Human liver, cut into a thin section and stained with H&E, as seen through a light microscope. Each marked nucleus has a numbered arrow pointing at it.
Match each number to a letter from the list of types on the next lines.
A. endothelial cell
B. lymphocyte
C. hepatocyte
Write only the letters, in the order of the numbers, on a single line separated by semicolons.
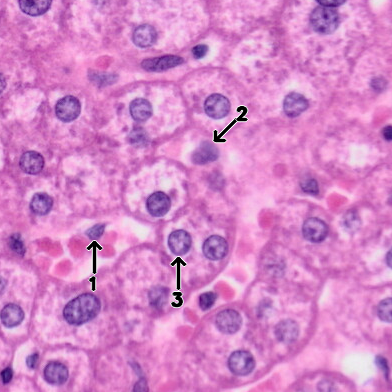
B; A; C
